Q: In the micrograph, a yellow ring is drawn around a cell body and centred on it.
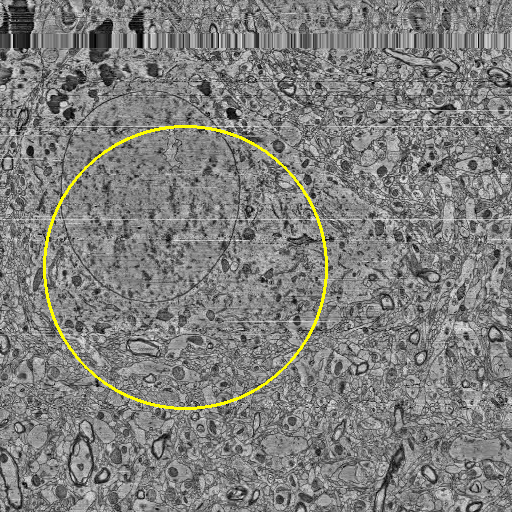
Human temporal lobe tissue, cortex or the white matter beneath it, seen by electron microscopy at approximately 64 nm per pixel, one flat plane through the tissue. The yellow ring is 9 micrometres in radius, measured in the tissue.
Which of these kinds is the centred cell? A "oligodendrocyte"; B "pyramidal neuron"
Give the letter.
B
